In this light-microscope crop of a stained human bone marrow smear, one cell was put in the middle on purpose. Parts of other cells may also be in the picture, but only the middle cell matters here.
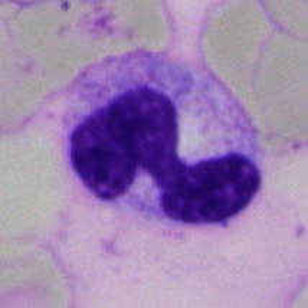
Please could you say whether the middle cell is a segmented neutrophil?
yes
